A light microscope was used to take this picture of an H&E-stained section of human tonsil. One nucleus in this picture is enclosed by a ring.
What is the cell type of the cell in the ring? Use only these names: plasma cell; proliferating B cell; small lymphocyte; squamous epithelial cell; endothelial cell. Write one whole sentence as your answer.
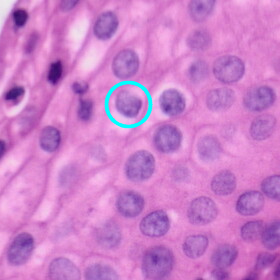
At the level of cell identity, the cell in the ring is a squamous epithelial cell.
